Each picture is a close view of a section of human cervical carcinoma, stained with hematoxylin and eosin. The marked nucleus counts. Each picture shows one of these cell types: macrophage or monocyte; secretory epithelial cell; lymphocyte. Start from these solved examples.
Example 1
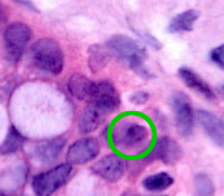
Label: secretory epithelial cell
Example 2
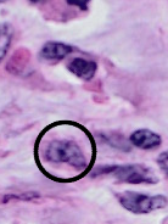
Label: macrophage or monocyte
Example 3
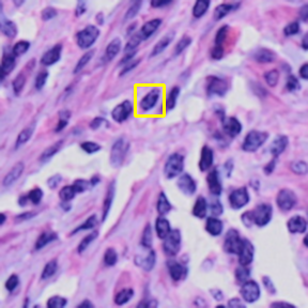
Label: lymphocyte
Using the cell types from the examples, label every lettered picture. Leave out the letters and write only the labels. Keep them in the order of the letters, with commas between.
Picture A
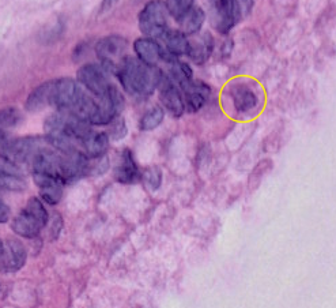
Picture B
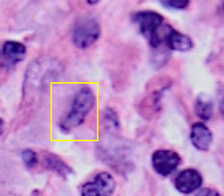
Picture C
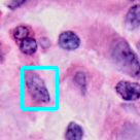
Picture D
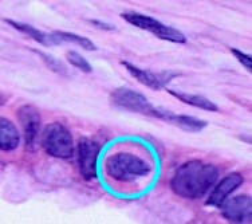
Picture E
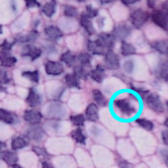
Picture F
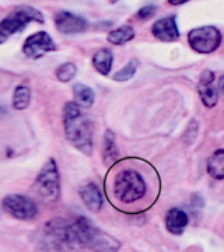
secretory epithelial cell, macrophage or monocyte, macrophage or monocyte, secretory epithelial cell, secretory epithelial cell, lymphocyte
